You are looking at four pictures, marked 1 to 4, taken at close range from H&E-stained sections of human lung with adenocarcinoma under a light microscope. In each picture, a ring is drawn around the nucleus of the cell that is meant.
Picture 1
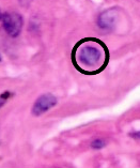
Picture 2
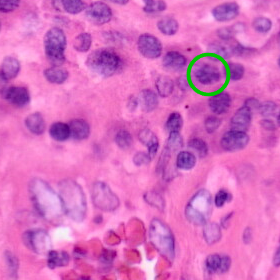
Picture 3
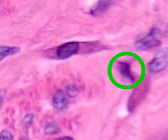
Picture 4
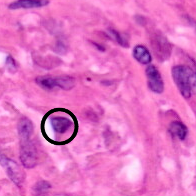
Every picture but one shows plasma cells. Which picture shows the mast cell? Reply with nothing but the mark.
1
